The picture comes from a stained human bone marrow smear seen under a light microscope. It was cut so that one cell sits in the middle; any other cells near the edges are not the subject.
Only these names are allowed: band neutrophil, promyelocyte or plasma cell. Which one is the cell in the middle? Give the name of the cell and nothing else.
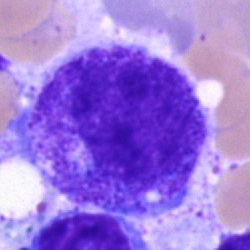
promyelocyte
